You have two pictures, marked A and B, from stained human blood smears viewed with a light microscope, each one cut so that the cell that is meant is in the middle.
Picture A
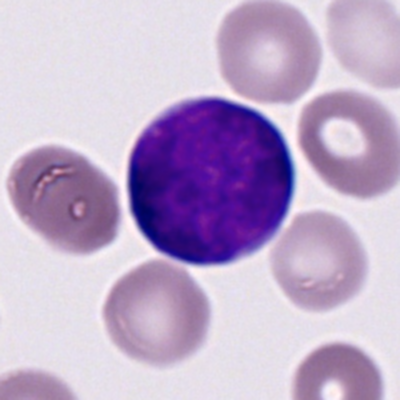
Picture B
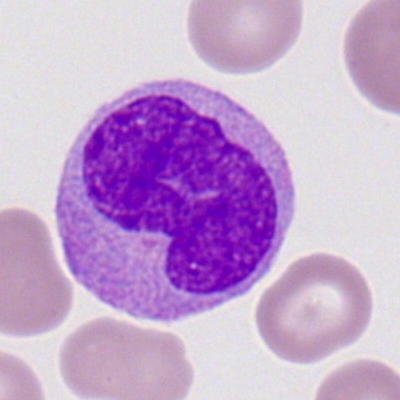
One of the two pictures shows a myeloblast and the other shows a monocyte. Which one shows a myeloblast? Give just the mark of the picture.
A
